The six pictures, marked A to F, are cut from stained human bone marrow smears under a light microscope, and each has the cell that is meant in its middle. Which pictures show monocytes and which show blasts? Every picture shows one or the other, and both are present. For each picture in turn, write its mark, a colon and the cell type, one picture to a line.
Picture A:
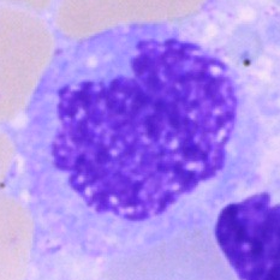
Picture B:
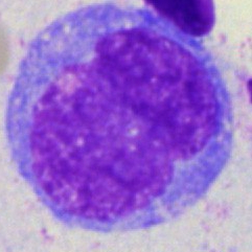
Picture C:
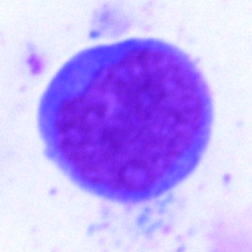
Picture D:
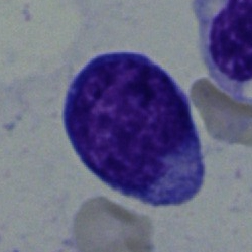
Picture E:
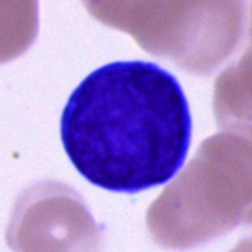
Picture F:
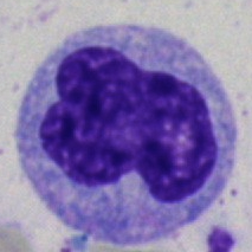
A: monocyte
B: monocyte
C: blast
D: blast
E: blast
F: monocyte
